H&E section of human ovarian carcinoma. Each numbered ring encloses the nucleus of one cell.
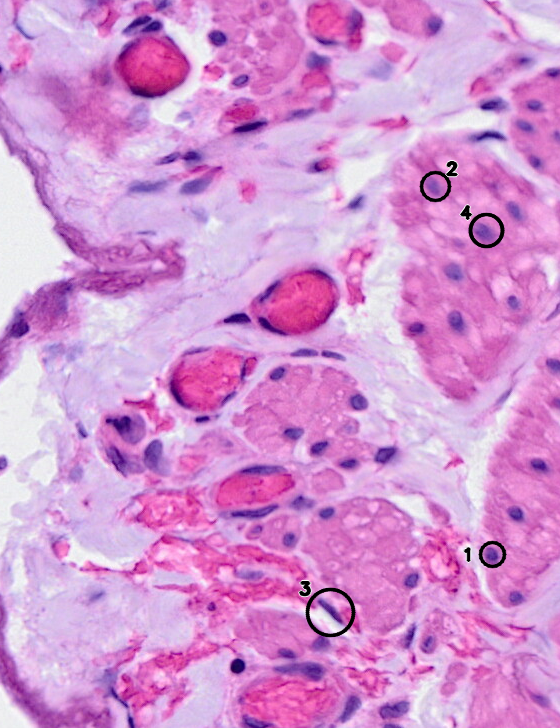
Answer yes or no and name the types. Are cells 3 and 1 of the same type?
No, in contrast to cell 3, which is an endothelial cell, cell 1 is a smooth muscle cell.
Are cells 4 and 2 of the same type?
Yes, the numbered cells 4 and 2 are both smooth muscle cells.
